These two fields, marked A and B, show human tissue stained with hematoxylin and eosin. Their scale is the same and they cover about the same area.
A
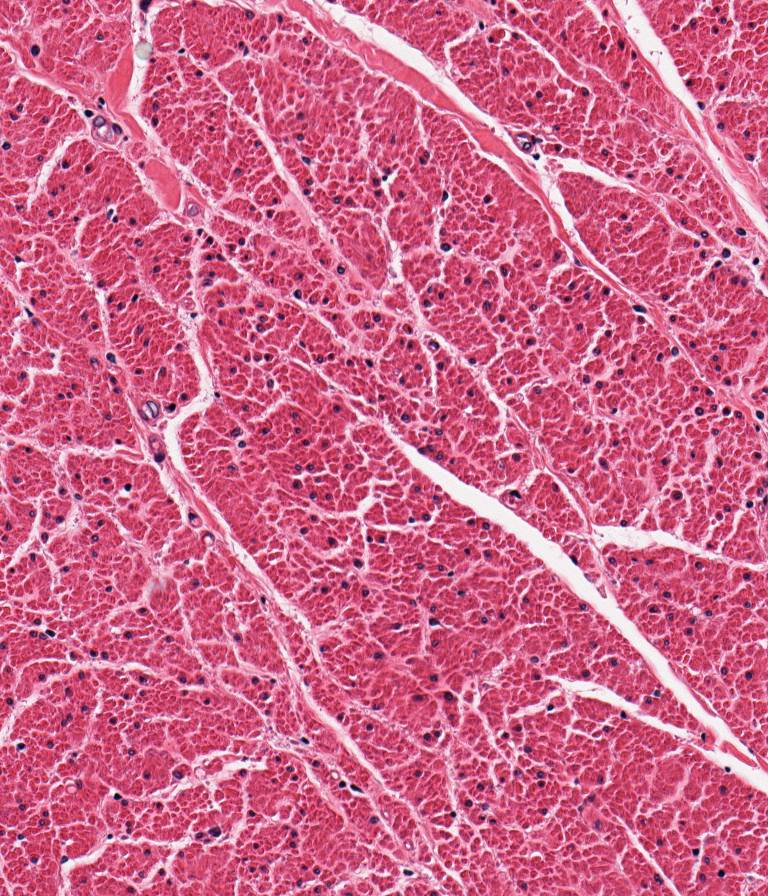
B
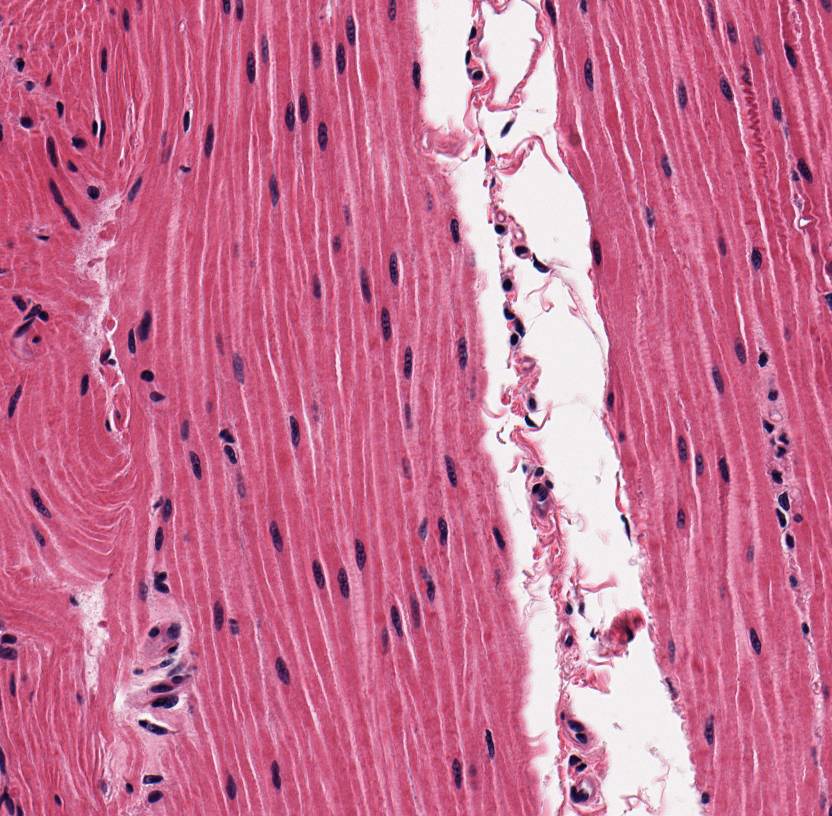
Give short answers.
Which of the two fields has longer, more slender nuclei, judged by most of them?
B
